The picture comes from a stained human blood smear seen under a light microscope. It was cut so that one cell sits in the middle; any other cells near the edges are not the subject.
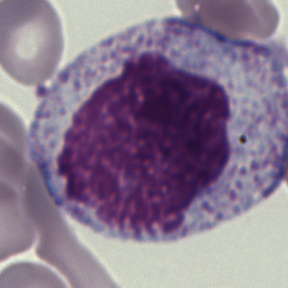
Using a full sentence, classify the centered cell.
In this crop, the cell at the very middle is a promyelocyte.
